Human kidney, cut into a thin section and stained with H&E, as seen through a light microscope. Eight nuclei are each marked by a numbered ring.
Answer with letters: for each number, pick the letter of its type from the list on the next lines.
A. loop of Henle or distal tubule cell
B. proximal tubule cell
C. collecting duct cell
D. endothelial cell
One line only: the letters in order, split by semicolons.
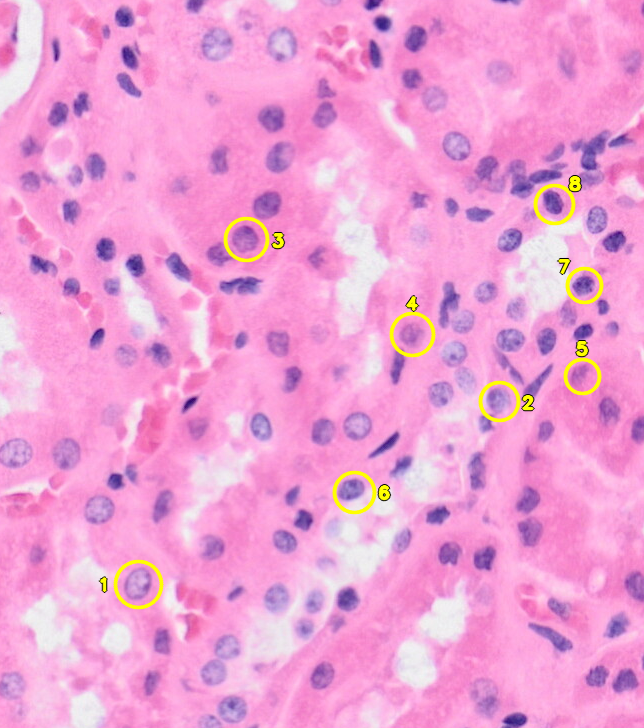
B; A; B; B; B; A; A; A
